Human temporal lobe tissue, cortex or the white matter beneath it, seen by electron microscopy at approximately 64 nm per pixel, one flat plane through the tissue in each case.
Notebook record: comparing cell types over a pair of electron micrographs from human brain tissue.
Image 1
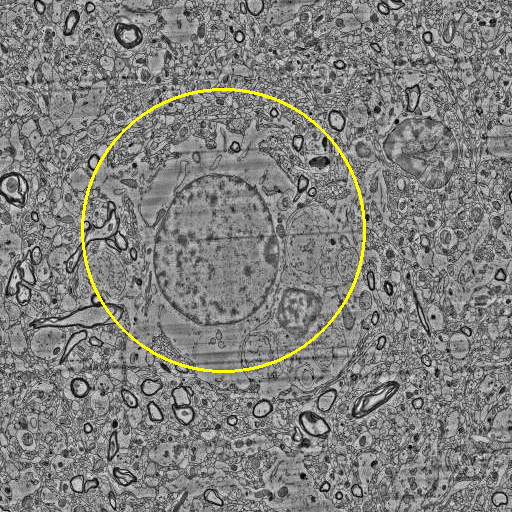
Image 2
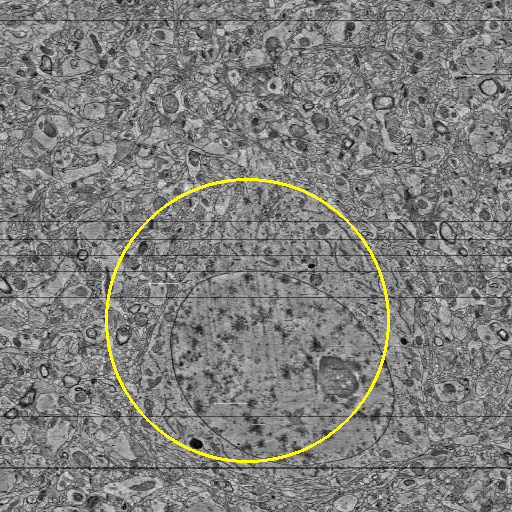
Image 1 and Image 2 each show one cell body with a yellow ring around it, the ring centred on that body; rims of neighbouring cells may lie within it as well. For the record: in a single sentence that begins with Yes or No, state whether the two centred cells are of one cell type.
No, two cell types are found among the centred cells of Image 1 and Image 2.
